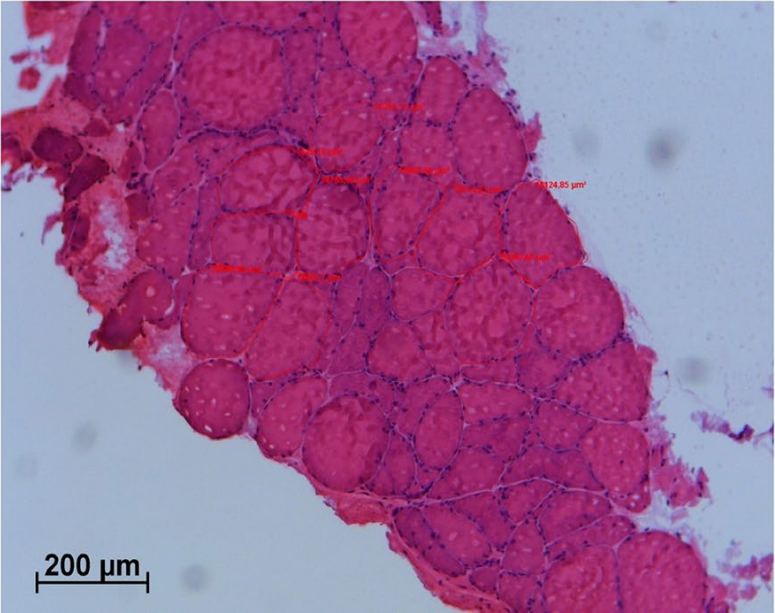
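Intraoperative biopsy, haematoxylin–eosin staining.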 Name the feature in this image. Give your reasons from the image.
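Dark nuclei lie at the edges of the profiles, not in their centres. Thin pale septa separate neighbouring profiles. That points to this answer: muscle fibre sections.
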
